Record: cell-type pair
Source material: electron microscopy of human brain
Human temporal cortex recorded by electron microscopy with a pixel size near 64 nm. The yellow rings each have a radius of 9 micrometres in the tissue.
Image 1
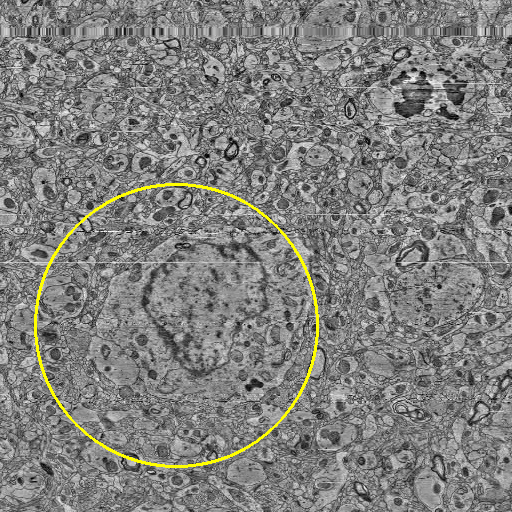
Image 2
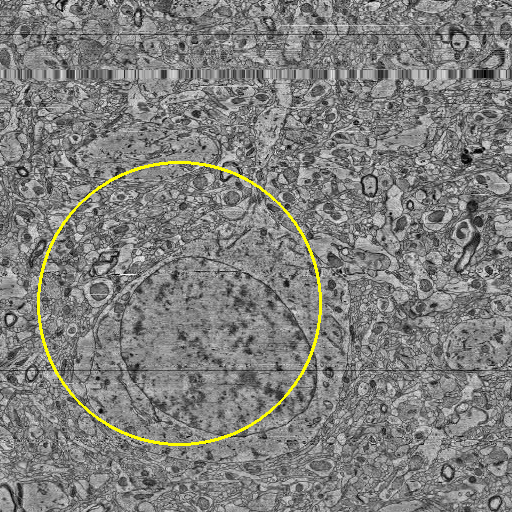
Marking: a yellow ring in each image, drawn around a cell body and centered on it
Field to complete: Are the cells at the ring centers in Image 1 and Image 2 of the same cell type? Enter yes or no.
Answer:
no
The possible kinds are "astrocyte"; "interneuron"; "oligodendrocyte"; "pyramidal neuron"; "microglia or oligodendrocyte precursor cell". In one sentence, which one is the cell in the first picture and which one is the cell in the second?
The cell ringed in the second picture is a pyramidal neuron, whereas the one ringed in the first is an interneuron.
